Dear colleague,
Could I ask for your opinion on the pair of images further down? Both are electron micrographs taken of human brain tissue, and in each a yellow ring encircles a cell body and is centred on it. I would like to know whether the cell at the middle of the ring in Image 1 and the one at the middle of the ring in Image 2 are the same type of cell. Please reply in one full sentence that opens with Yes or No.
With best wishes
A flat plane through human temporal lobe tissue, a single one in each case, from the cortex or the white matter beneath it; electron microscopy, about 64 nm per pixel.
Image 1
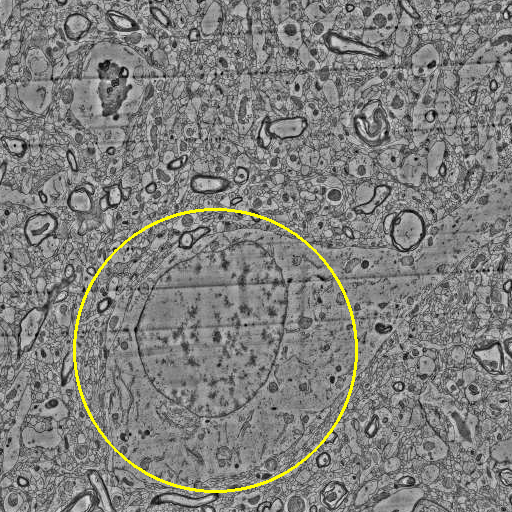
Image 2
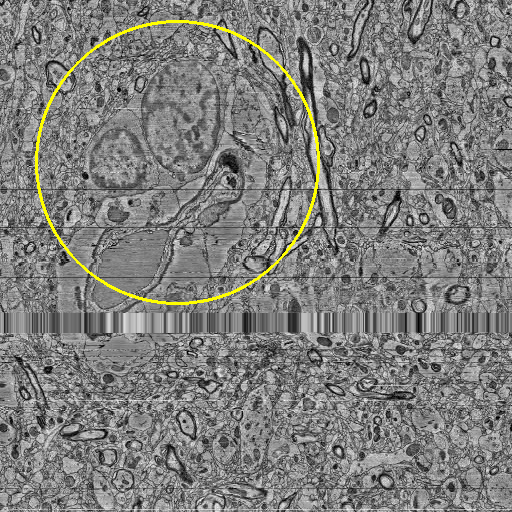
No, the cells at the ring centres in Image 1 and Image 2 are of two types.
